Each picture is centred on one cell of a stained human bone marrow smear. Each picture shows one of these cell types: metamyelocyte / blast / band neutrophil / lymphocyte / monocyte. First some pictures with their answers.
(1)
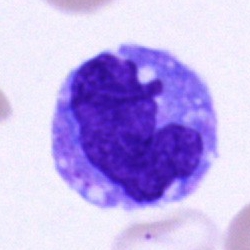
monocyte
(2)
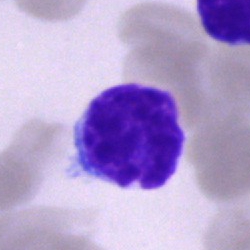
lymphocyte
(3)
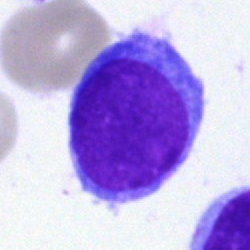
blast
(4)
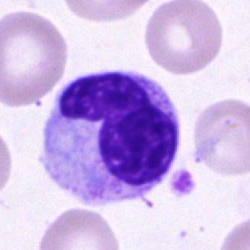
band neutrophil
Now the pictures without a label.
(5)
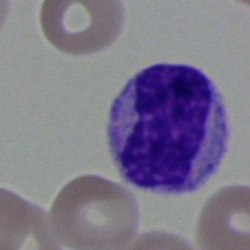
metamyelocyte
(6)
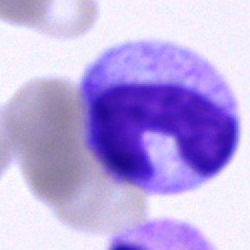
band neutrophil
